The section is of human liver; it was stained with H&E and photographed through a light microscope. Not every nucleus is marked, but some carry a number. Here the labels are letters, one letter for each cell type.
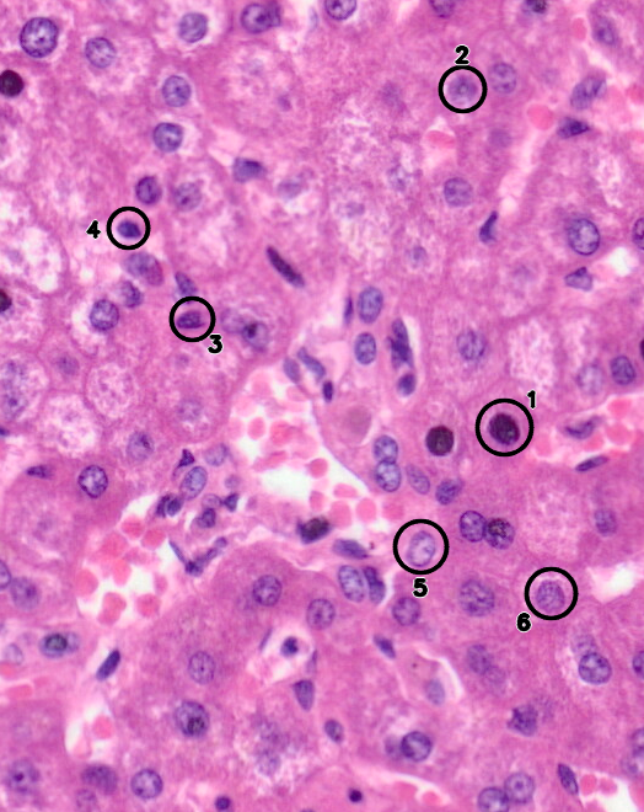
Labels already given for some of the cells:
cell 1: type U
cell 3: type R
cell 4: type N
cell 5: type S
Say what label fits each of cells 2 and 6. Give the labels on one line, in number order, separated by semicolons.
type U; type U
